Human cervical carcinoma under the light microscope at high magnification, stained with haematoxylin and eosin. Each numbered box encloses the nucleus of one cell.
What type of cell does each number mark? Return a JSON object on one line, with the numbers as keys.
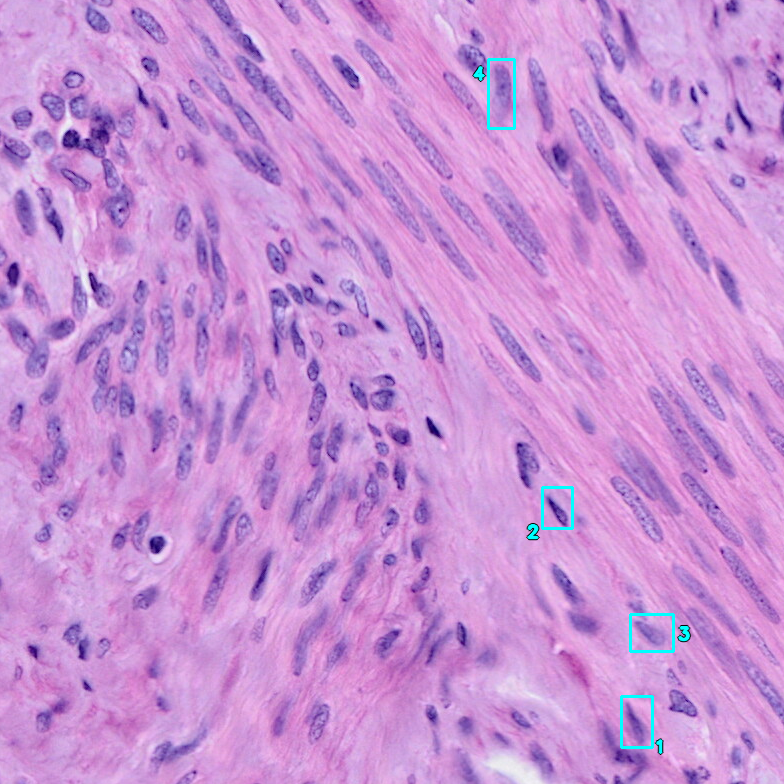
{"1": "fibroblast", "2": "fibroblast", "3": "fibroblast", "4": "smooth muscle cell"}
